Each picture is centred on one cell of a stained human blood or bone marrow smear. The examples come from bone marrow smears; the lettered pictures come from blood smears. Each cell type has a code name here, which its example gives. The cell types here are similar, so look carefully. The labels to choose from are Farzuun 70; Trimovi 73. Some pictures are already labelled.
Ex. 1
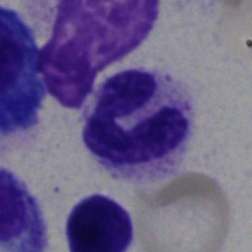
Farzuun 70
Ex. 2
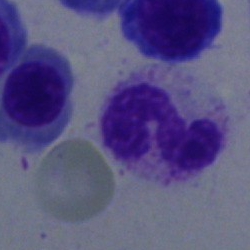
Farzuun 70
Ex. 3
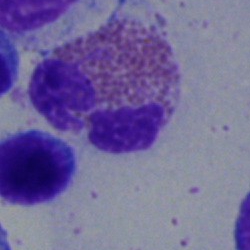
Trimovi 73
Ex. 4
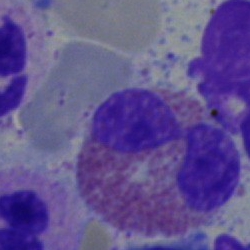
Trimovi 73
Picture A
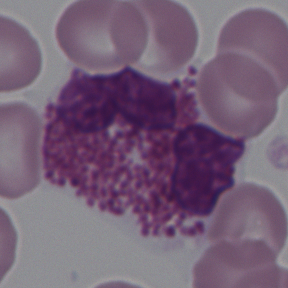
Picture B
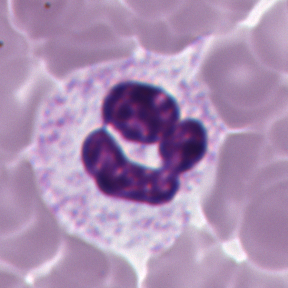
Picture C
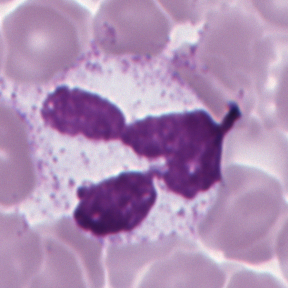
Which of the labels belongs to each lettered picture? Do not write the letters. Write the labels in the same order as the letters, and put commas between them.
Trimovi 73, Farzuun 70, Farzuun 70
